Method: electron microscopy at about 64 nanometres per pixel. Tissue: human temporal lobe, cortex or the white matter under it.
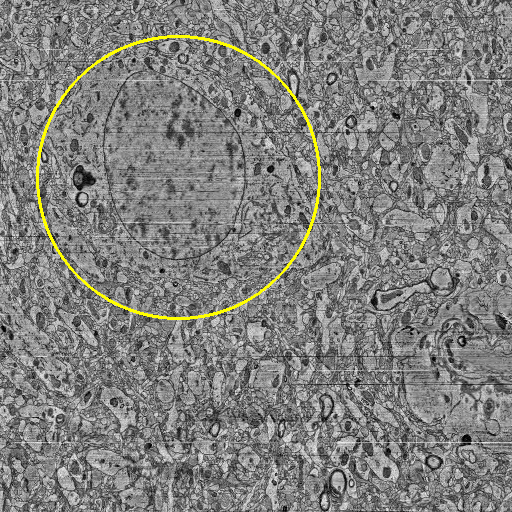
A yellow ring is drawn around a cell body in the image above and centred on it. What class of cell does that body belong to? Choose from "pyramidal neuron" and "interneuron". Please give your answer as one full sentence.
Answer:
The yellow ring above is centred on the cell body of a pyramidal neuron.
